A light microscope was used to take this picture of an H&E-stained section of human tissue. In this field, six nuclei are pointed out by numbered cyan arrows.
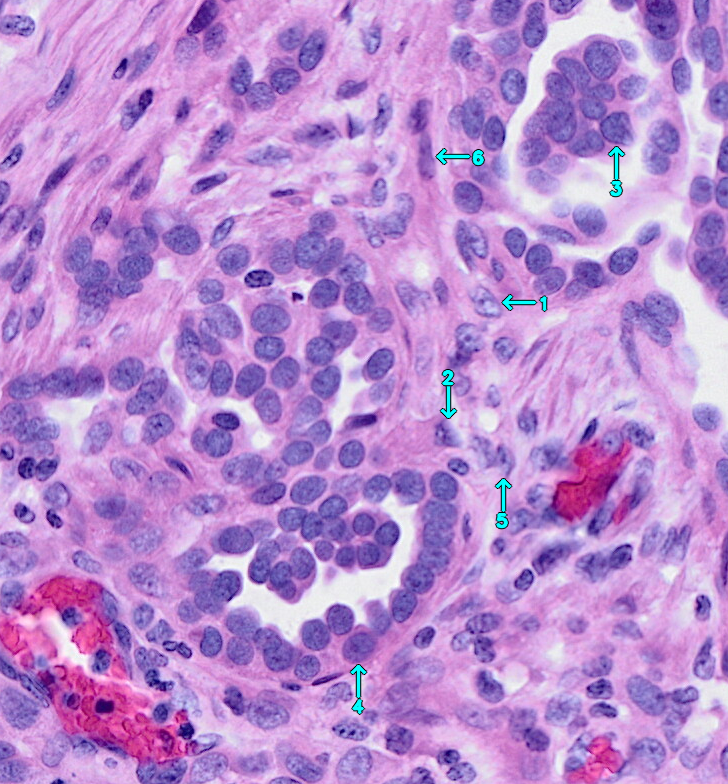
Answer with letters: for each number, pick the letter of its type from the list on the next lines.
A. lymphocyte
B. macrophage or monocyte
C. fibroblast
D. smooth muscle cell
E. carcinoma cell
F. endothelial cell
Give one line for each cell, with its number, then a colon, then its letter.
1: C
2: C
3: E
4: E
5: C
6: C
